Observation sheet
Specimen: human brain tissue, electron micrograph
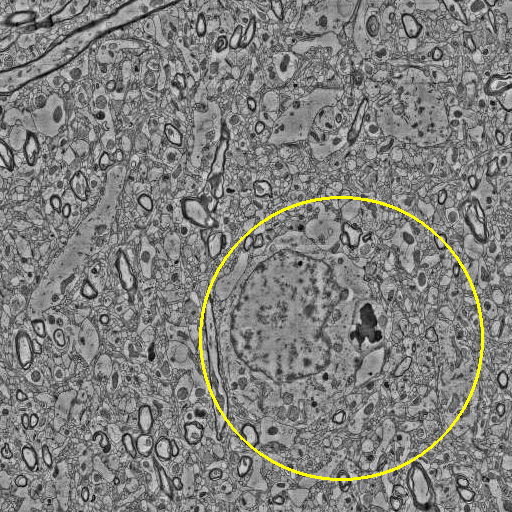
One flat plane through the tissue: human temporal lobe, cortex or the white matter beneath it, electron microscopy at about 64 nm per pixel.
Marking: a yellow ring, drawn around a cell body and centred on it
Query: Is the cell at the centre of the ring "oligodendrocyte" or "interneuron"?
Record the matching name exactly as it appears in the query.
oligodendrocyte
